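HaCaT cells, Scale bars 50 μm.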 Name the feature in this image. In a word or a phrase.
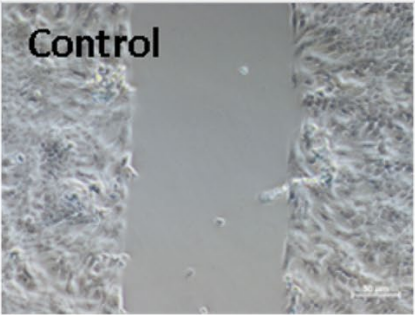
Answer: Wound area.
